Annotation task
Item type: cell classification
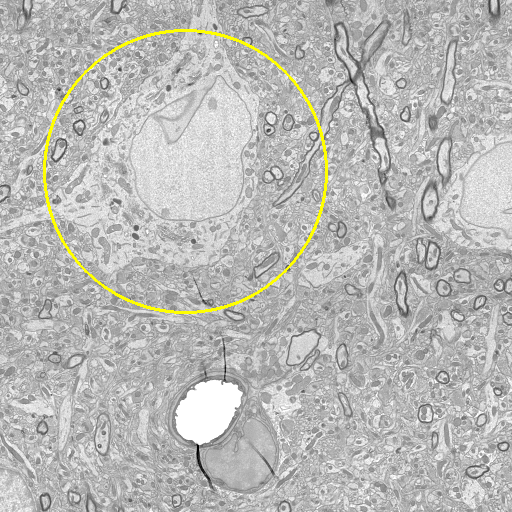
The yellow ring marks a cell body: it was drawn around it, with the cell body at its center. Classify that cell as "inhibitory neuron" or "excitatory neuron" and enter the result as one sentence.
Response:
The ring's center falls on an excitatory neuron.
